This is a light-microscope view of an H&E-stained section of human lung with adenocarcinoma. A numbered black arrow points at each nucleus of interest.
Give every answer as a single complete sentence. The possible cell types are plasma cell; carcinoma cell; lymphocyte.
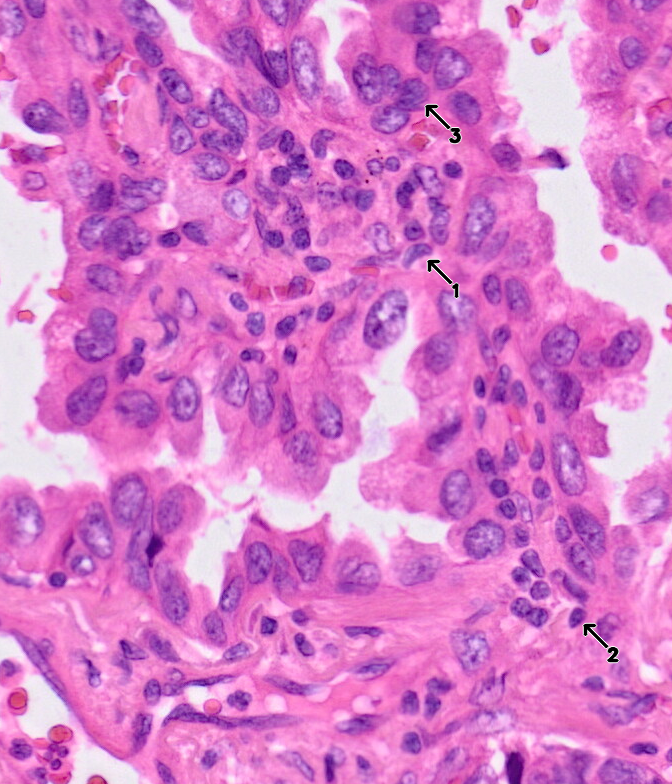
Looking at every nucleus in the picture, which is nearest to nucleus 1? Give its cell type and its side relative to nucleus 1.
Lying above nucleus 1, the nearest nucleus is that of a plasma cell.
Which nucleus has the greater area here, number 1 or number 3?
Nucleus 3 is the larger one, covering about 2.5 times the area of nucleus 1.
